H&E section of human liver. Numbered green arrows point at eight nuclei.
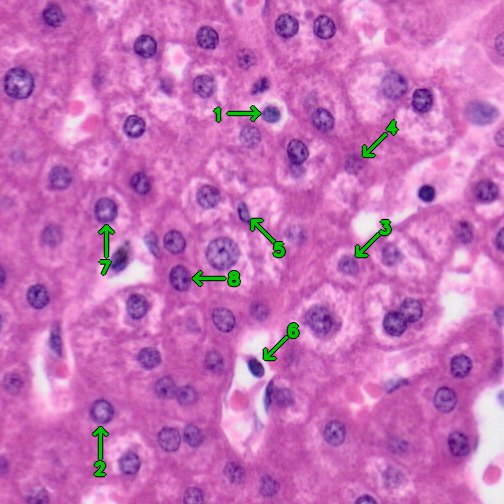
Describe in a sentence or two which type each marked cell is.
Cell 1 is a lymphocyte, cell 2 is a hepatocyte, cell 3 is a hepatocyte, cell 4 is a hepatocyte, cell 5 is a fibroblast or stellate cell, cell 6 is a lymphocyte, cell 7 is a hepatocyte and cell 8 is a hepatocyte.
